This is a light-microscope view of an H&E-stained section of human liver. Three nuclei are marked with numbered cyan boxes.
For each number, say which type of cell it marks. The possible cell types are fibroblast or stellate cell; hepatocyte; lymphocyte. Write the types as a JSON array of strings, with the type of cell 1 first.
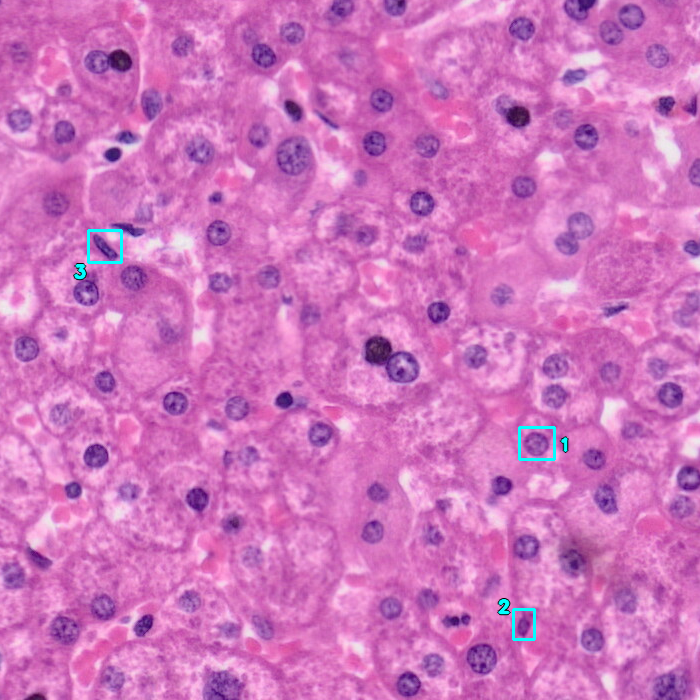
["hepatocyte", "fibroblast or stellate cell", "fibroblast or stellate cell"]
